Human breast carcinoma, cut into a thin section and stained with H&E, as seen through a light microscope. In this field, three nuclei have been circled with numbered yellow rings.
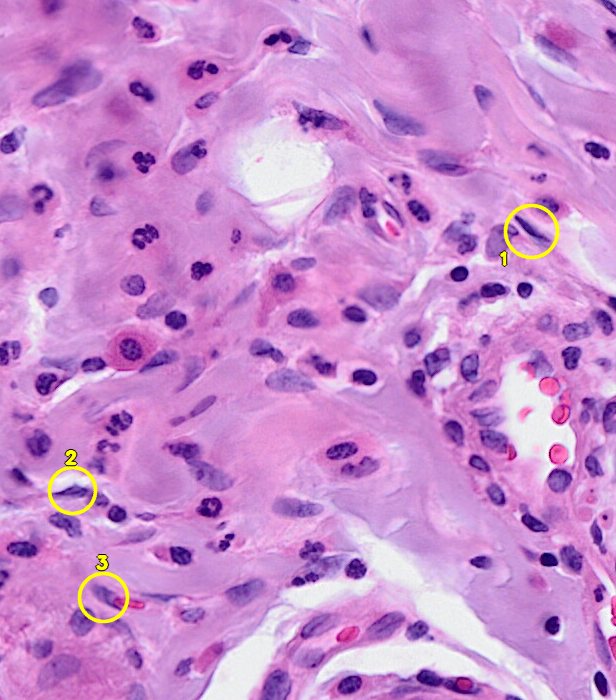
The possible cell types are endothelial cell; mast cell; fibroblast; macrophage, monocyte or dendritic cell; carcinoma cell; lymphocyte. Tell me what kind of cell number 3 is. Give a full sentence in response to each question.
The cell carrying label 3 is identified as an endothelial cell.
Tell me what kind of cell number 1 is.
The cell to which the number 1 is assigned is a fibroblast.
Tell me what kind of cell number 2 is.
Recognised here as a fibroblast is the cell numbered 2.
